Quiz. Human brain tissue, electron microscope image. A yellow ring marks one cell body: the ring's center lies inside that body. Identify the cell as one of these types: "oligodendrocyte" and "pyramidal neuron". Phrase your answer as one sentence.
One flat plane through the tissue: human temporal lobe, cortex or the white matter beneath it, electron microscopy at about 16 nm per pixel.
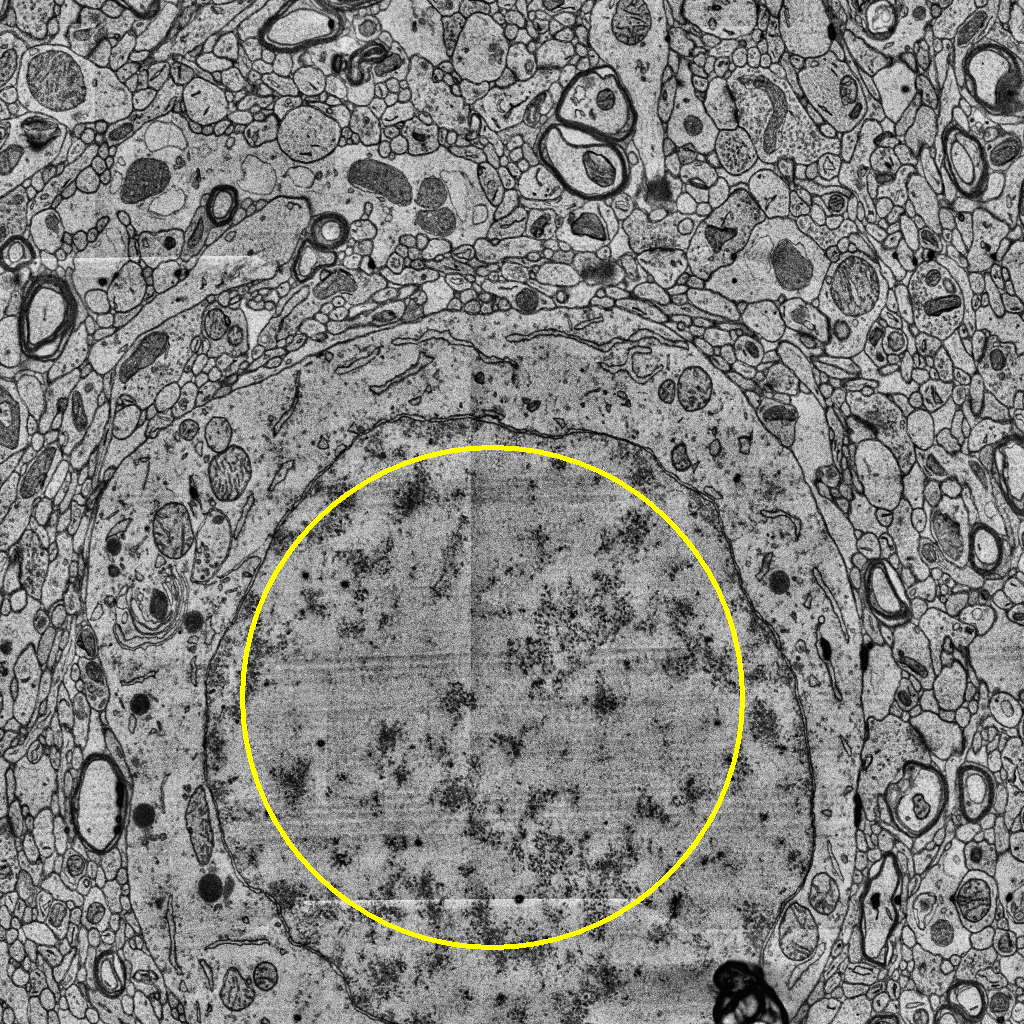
At the center of the ring sits a pyramidal neuron.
